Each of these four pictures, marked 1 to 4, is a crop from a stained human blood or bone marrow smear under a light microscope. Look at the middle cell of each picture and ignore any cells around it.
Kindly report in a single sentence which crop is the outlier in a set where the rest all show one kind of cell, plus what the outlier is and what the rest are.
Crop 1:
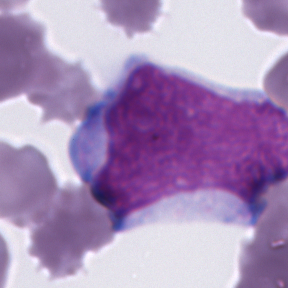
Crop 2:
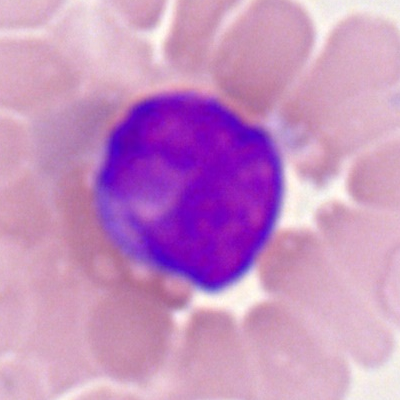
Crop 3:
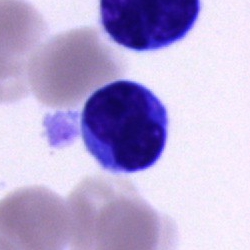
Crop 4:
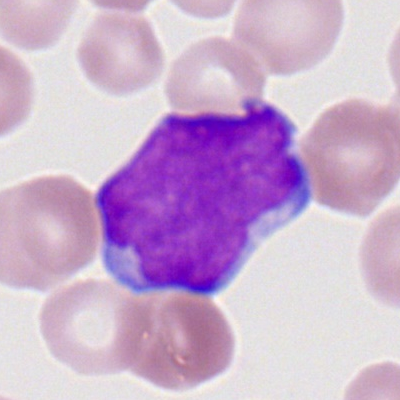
Crop 3 shows a lymphocyte, while all of the others show blasts.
